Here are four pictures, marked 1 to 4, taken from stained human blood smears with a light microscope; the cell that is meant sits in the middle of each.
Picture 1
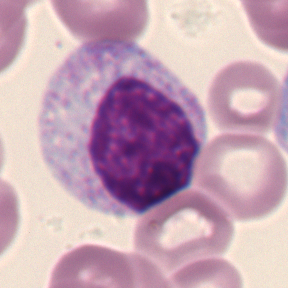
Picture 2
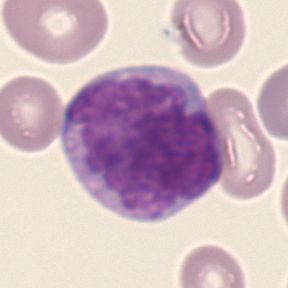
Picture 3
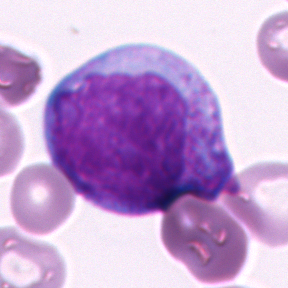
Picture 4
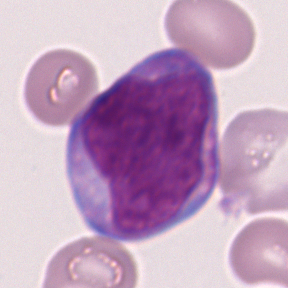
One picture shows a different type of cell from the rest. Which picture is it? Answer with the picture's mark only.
1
